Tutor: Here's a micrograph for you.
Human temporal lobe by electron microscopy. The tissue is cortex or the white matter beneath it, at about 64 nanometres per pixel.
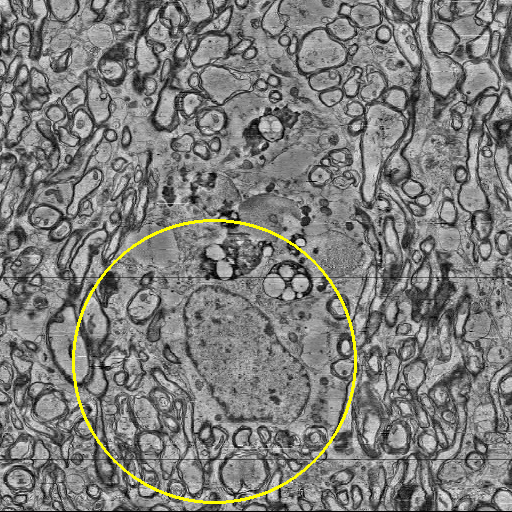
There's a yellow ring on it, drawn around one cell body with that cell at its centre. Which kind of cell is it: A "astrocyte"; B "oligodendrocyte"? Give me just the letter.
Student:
A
